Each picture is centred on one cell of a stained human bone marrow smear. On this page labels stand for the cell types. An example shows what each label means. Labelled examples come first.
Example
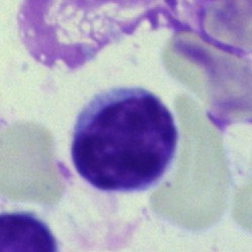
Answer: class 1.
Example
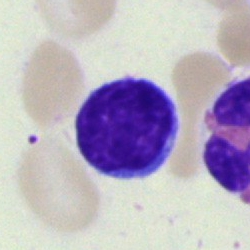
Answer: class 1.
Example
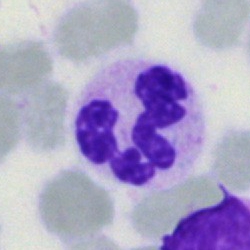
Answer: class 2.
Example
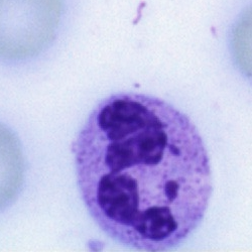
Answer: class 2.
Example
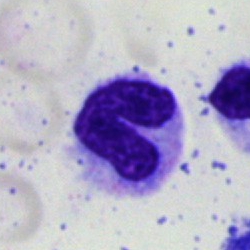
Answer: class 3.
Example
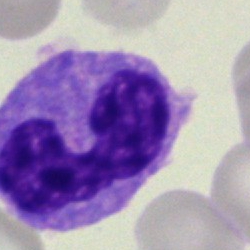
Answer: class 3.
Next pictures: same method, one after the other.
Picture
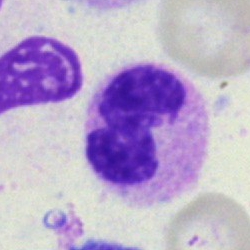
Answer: class 2.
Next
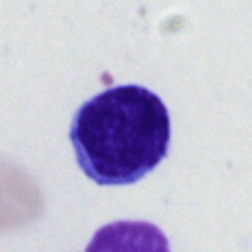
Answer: class 1.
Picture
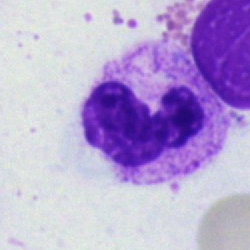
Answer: class 2.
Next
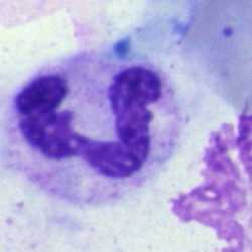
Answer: class 2.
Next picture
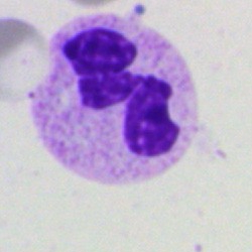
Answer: class 2.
